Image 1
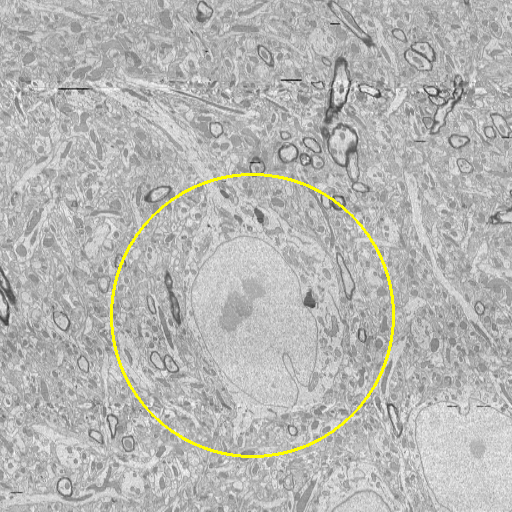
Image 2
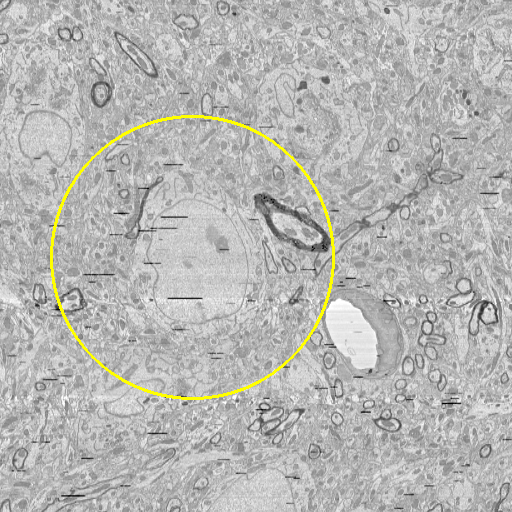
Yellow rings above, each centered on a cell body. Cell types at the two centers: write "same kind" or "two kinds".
same kind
